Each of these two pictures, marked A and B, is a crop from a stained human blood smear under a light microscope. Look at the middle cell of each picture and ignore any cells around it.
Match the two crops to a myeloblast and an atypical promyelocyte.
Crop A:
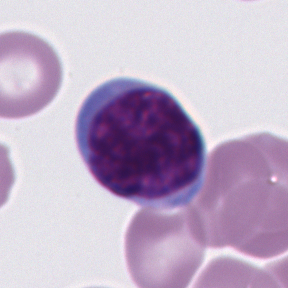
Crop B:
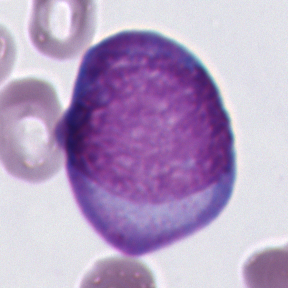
A: myeloblast
B: atypical promyelocyte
